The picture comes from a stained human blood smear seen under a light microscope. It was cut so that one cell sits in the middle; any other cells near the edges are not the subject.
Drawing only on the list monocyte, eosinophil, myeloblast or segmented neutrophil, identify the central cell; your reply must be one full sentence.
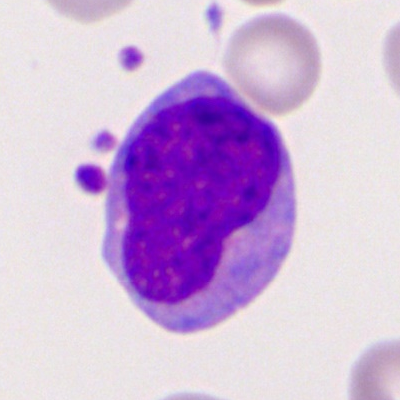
Whatever else lies nearby, the middle cell is a myeloblast.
